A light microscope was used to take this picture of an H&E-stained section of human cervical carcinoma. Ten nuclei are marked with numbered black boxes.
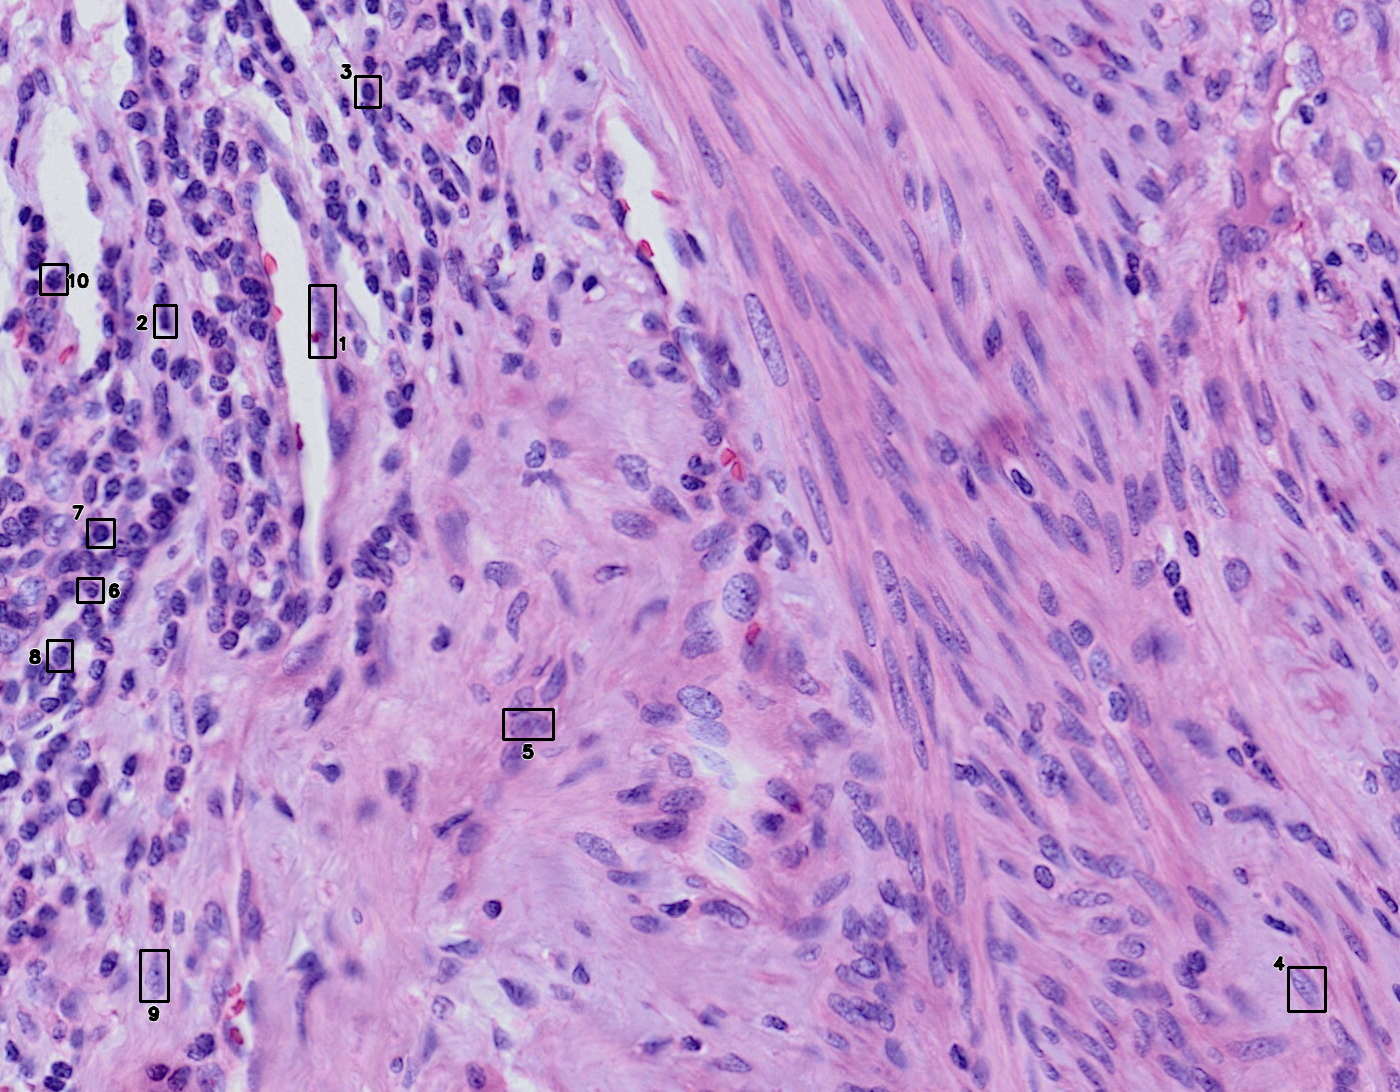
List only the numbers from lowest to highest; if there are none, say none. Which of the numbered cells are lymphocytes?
2, 3, 6, 7, 8, 10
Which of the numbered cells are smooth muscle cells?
4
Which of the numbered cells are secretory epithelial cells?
none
